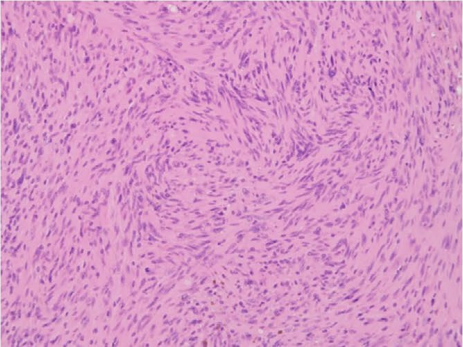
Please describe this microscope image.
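This is a densely cellular tumor made of tumor cells with elongated cytoplasm. The cells are spindle-shaped, with slender, elongated, dark purple nuclei, and are set in pink, fibrillary cytoplasm with indistinct cell borders. They are arranged in interlacing, swirling fascicles that run in different directions across the field.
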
